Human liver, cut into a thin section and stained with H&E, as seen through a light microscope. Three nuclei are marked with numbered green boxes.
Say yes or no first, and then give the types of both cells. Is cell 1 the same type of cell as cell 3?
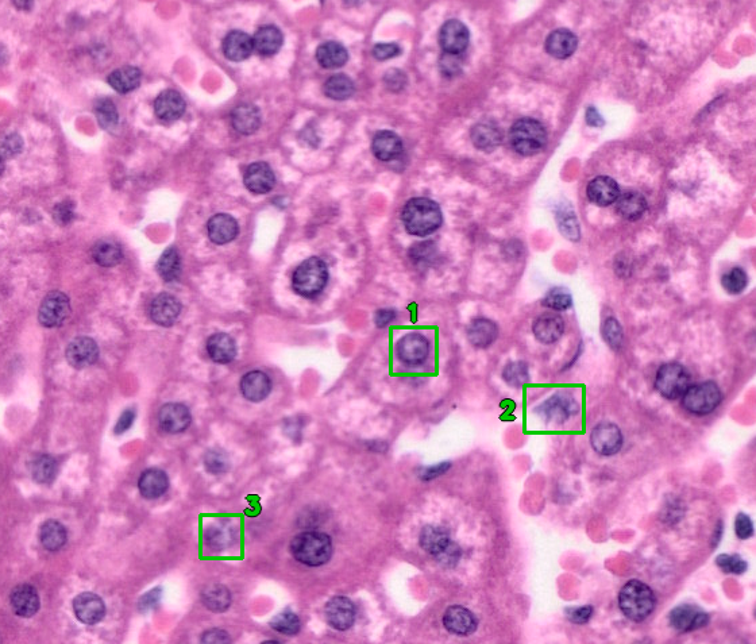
Yes, cells 1 and 3 both belong to the category of hepatocytes.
